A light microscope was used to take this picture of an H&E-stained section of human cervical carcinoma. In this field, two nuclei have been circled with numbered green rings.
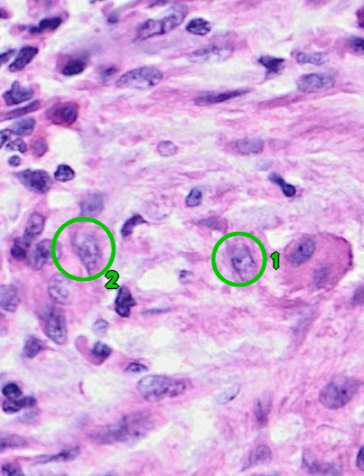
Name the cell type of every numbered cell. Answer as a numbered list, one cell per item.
1. fibroblast
2. endothelial cell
